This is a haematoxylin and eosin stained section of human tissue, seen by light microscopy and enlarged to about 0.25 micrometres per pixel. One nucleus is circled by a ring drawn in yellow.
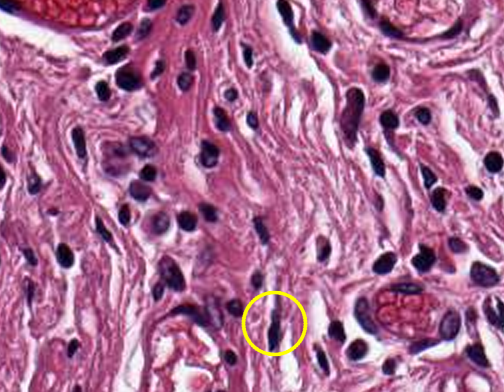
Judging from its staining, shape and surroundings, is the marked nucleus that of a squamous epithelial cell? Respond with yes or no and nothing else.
no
